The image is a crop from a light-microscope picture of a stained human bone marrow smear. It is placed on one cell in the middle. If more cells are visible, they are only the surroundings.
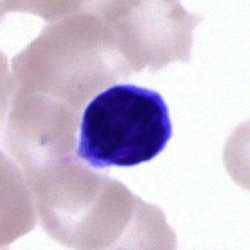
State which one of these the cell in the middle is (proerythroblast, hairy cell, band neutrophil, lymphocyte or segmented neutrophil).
lymphocyte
